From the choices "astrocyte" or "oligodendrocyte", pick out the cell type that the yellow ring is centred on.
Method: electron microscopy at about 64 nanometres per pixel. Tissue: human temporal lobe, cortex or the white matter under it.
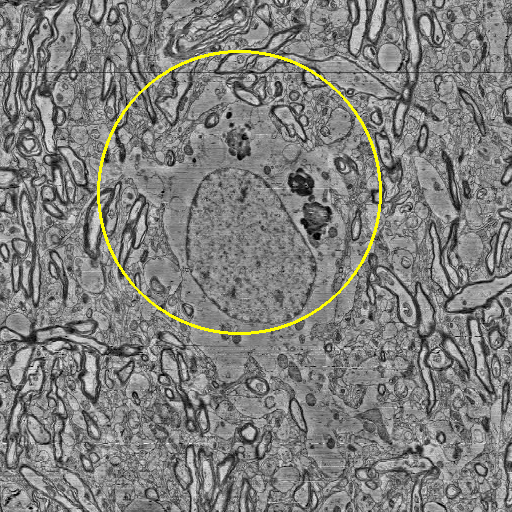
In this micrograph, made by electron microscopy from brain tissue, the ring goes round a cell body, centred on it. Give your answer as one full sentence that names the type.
The yellow ring is centred on an astrocyte, whose cell body it encircles in the picture.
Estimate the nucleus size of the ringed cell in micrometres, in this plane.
In this plane, roughly 11 by 8 micrometres.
